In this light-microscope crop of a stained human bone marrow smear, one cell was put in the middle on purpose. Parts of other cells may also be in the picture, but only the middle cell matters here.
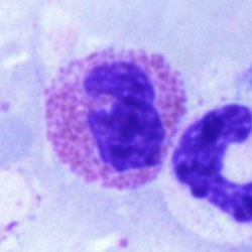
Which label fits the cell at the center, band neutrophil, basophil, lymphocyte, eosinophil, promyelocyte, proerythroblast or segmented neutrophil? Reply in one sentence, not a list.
The cell centred in this crop is categorized as an eosinophil.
